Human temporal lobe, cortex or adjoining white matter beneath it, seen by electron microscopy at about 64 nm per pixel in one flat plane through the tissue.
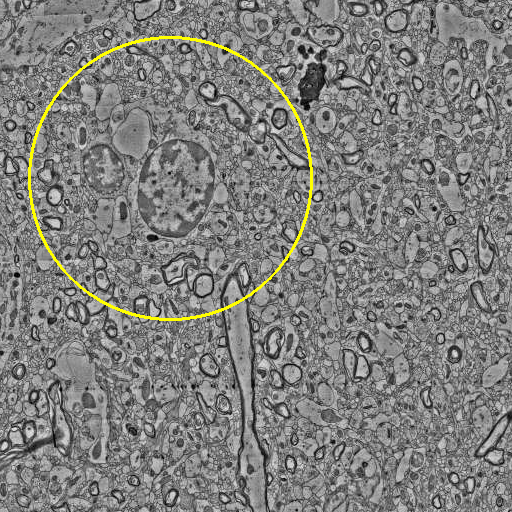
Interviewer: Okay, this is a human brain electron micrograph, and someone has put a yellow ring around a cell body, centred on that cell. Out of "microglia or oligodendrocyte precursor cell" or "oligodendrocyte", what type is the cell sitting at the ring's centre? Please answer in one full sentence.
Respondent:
The cell at the centre of the yellow ring in this picture is a microglial cell or oligodendrocyte precursor cell.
